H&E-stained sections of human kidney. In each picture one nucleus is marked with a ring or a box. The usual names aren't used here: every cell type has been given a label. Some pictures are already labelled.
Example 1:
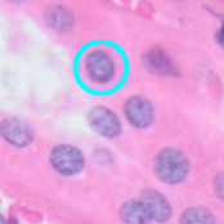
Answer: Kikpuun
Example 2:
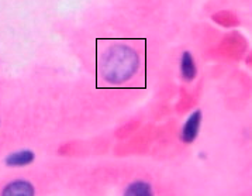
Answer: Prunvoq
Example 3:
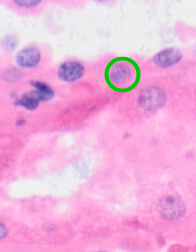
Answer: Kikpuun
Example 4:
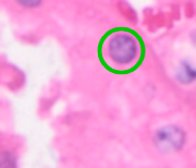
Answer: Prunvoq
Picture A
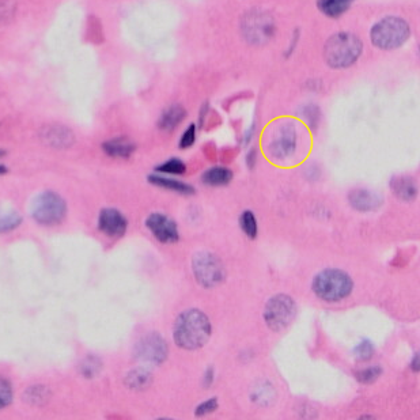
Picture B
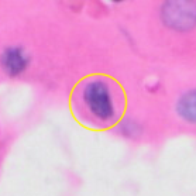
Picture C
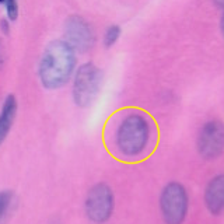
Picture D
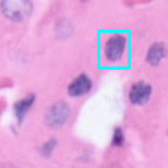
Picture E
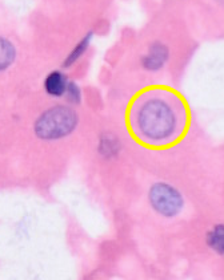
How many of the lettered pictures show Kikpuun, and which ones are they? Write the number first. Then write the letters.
3, namely A, B, D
